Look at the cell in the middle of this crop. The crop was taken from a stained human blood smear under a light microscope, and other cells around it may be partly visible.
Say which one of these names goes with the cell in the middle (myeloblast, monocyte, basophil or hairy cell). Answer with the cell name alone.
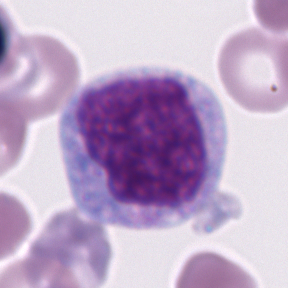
monocyte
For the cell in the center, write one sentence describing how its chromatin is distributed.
The chromatin remains finely textured, with no coarse clumps to speak of.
